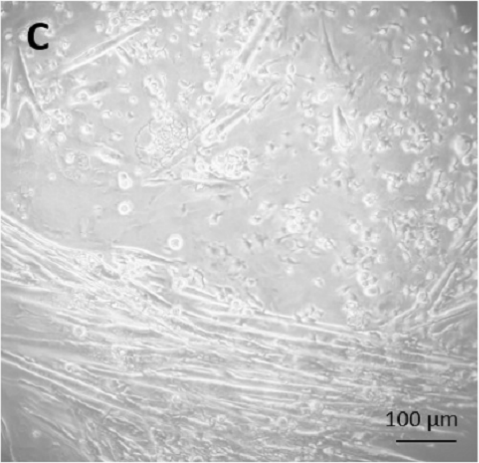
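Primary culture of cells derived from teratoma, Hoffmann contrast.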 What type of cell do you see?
early myotubes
